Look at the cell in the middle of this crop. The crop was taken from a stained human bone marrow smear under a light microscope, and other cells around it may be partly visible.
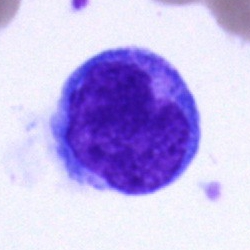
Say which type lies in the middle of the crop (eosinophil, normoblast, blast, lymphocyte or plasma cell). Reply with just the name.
blast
